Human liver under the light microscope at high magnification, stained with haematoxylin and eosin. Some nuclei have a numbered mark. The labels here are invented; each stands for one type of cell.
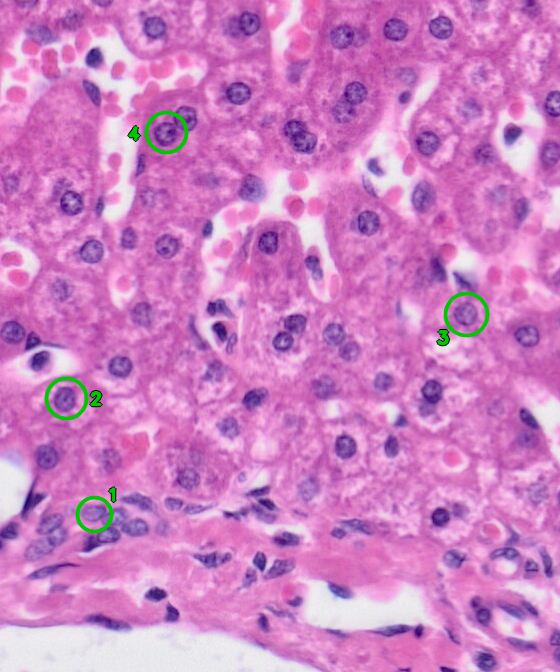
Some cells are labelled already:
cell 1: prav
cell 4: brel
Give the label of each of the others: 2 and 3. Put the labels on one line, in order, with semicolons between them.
brel; brel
